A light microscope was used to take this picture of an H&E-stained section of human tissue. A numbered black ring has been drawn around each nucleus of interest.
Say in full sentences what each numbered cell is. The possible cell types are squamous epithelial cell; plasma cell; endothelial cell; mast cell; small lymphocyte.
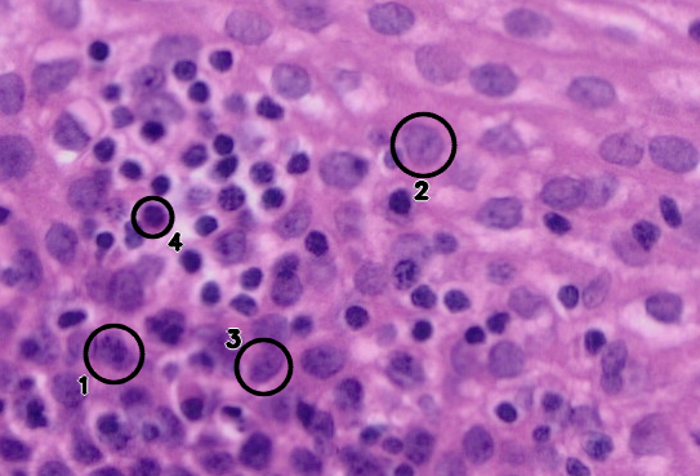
Cell 1 is a squamous epithelial cell, cell 2 is a squamous epithelial cell, cell 3 is a squamous epithelial cell and cell 4 is a plasma cell.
